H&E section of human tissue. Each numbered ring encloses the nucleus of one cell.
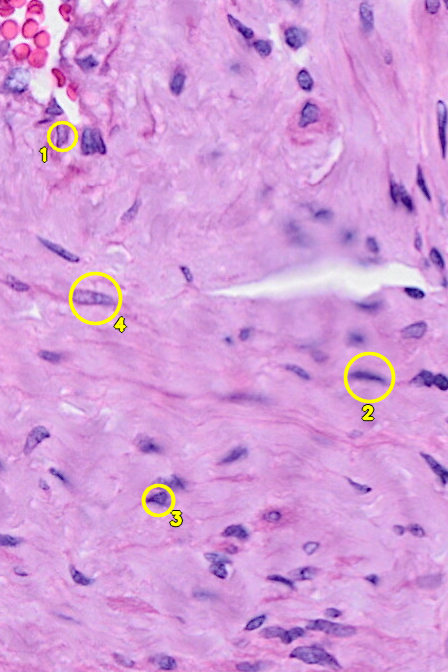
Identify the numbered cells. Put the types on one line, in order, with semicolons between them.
endothelial cell; fibroblast; fibroblast; smooth muscle cell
